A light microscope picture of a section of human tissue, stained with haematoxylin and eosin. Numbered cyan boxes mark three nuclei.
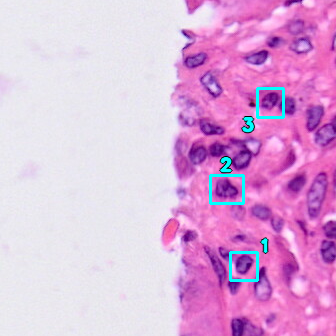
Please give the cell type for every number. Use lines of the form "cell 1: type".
cell 1: lymphocyte
cell 2: plasma cell
cell 3: plasma cell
